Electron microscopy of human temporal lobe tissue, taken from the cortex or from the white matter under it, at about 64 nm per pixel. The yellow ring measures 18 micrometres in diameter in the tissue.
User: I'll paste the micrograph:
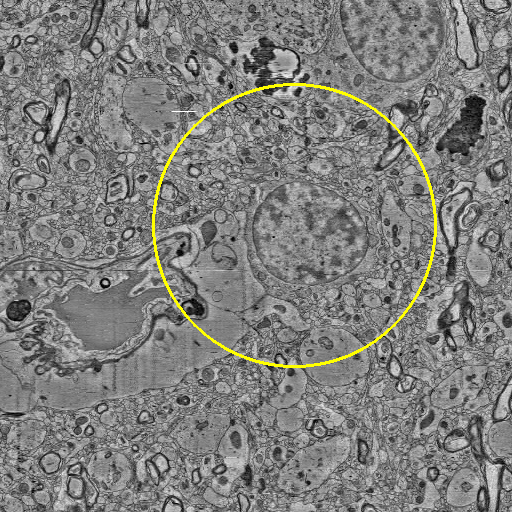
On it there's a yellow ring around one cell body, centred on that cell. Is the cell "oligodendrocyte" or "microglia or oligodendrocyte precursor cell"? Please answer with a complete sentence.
The cell ringed in yellow is an oligodendrocyte.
